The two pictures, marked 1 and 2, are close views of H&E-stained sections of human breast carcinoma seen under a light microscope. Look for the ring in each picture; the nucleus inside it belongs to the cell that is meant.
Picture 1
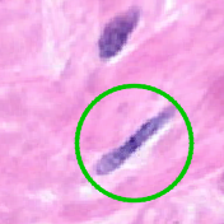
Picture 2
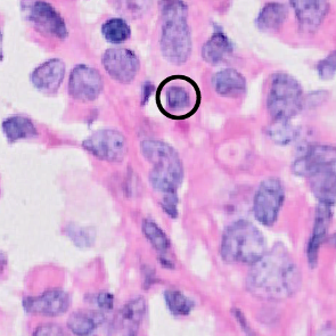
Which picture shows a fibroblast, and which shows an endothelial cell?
1: fibroblast
2: endothelial cell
